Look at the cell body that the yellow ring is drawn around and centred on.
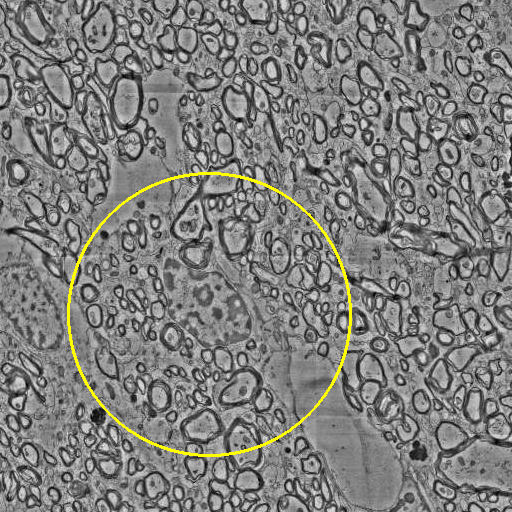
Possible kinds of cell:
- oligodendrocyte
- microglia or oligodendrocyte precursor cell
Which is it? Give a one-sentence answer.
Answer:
The centred cell body is that of a microglial cell or oligodendrocyte precursor cell.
